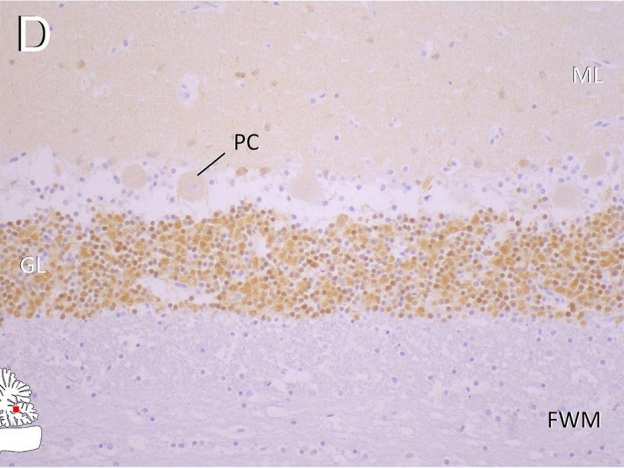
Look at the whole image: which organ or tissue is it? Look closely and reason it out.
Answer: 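A wide, sparsely cellular outer layer lies above a row of large round cell bodies. Beneath the large cell bodies is a dense band of small, closely packed round nuclei. A pale fibrous layer with scattered nuclei lies beneath the dense band. So: cerebellum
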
